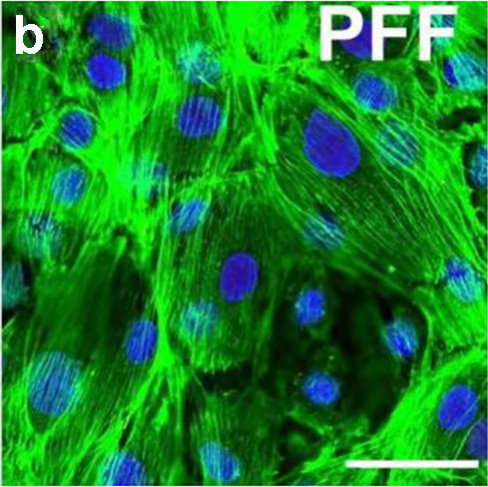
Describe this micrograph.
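Within each cell the fibers lie straight and parallel, forming closely spaced stripes that run along the cell's long axis and pass over the nucleus. The cells appear broader and more spread, with their outlines easier to pick out because each has its own set of aligned bundles. Neighbouring cells' bundles point in somewhat different directions, but within a cell they are neatly arranged rather than criss-crossing.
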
